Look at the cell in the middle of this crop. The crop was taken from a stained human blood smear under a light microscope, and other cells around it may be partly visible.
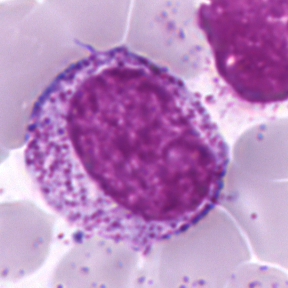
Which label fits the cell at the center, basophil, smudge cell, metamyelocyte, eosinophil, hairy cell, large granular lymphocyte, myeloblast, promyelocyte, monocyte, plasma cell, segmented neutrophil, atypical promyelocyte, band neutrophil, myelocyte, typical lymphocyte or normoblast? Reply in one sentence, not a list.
Of the cells in this crop, the central one is a myelocyte.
